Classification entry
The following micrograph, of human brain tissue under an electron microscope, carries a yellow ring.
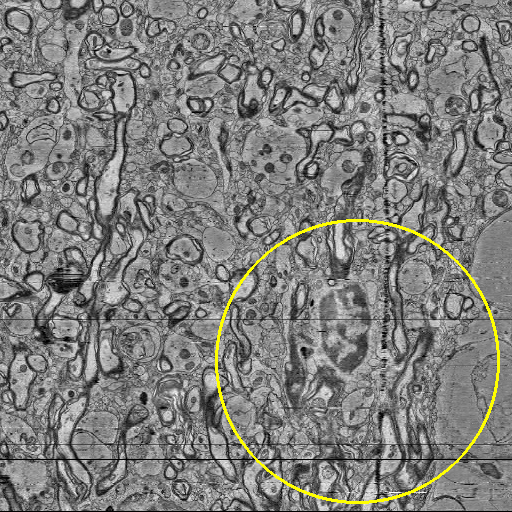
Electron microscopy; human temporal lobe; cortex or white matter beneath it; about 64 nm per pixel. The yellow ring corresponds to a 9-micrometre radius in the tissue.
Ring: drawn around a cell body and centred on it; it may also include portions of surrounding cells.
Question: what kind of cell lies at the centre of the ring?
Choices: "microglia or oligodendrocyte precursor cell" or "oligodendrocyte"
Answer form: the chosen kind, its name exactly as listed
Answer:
microglia or oligodendrocyte precursor cell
